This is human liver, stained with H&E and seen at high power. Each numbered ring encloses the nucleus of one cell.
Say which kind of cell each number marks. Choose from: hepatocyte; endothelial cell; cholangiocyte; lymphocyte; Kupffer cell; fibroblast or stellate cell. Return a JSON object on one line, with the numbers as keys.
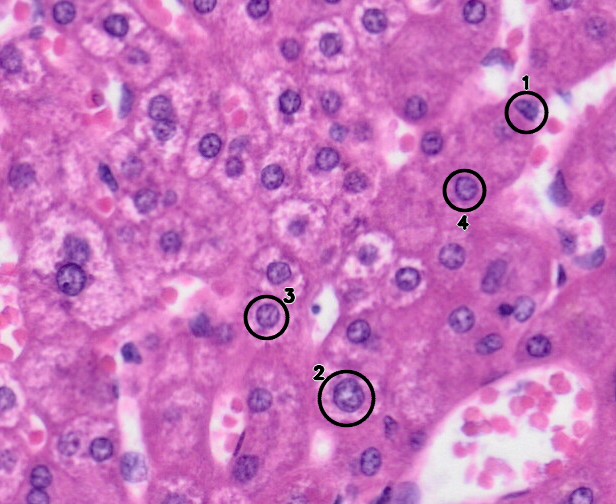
{"1": "fibroblast or stellate cell", "2": "hepatocyte", "3": "hepatocyte", "4": "hepatocyte"}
